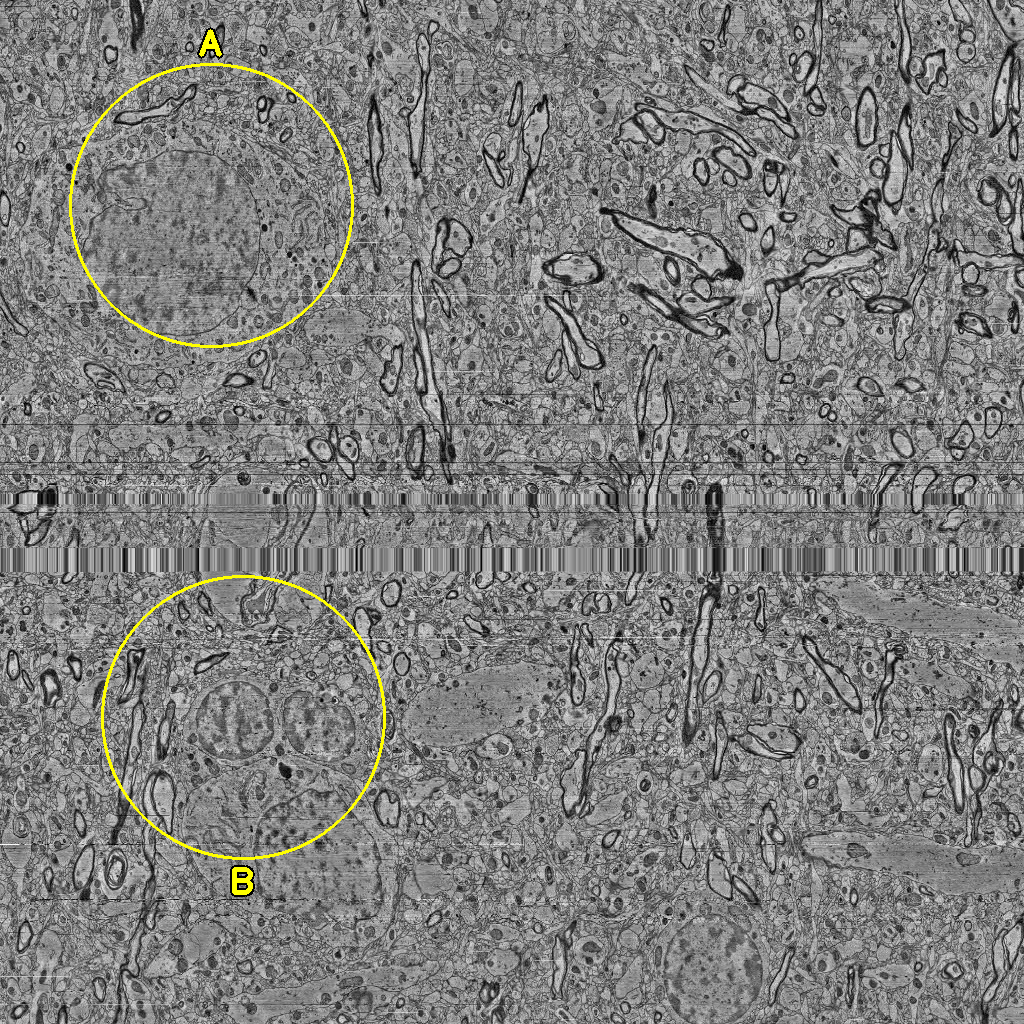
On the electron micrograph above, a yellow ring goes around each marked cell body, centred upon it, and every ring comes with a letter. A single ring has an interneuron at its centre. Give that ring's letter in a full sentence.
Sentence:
The ring holding the cell asked for at its centre bears the letter A.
